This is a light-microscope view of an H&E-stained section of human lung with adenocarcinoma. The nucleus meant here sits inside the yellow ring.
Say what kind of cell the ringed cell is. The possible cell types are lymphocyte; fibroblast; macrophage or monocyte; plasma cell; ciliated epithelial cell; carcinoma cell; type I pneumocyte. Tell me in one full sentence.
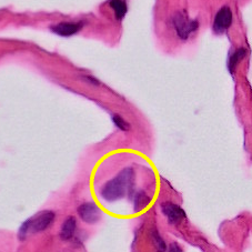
Within the stained tissue, the ringed cell is a type I pneumocyte.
